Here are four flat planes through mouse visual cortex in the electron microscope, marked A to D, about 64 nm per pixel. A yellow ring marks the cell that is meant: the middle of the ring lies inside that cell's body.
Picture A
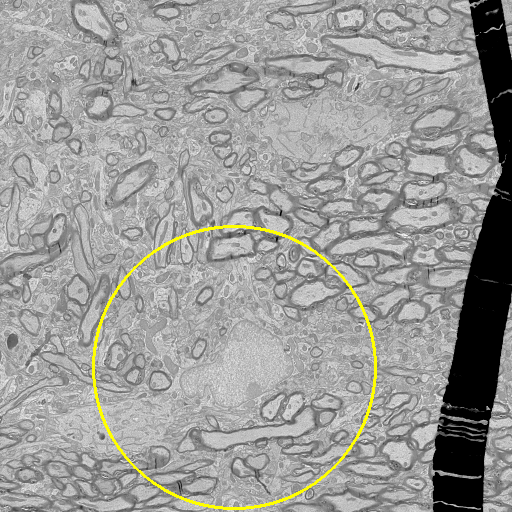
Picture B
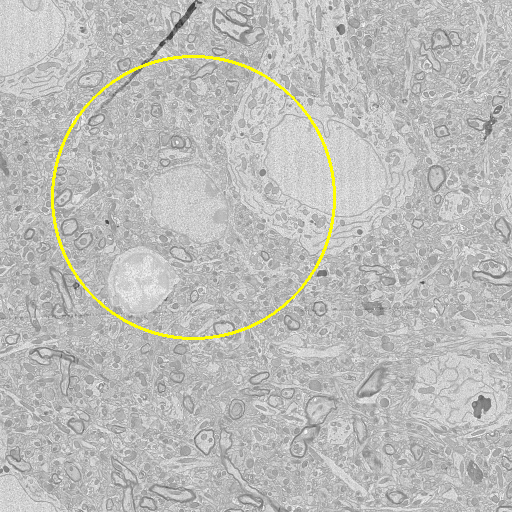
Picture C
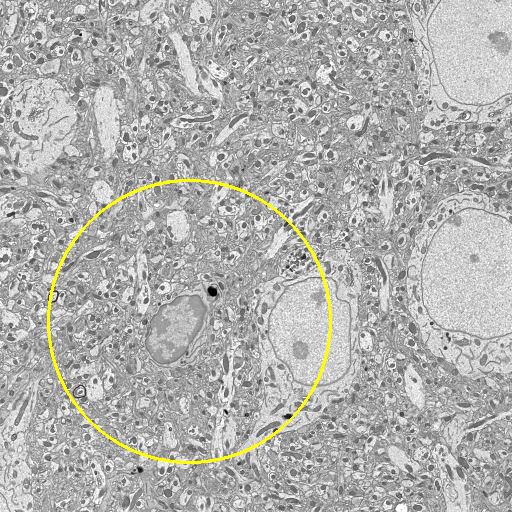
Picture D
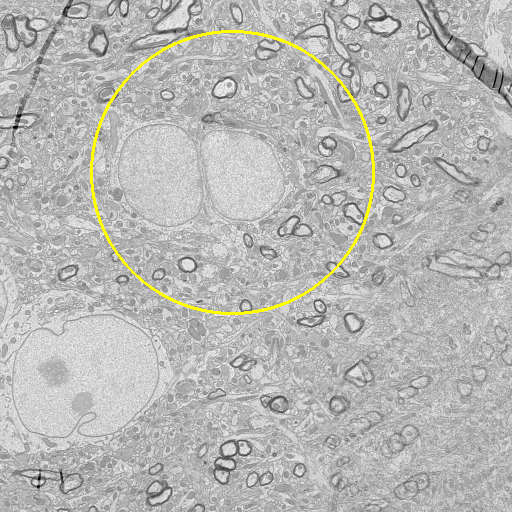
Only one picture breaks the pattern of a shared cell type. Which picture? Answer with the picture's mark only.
C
